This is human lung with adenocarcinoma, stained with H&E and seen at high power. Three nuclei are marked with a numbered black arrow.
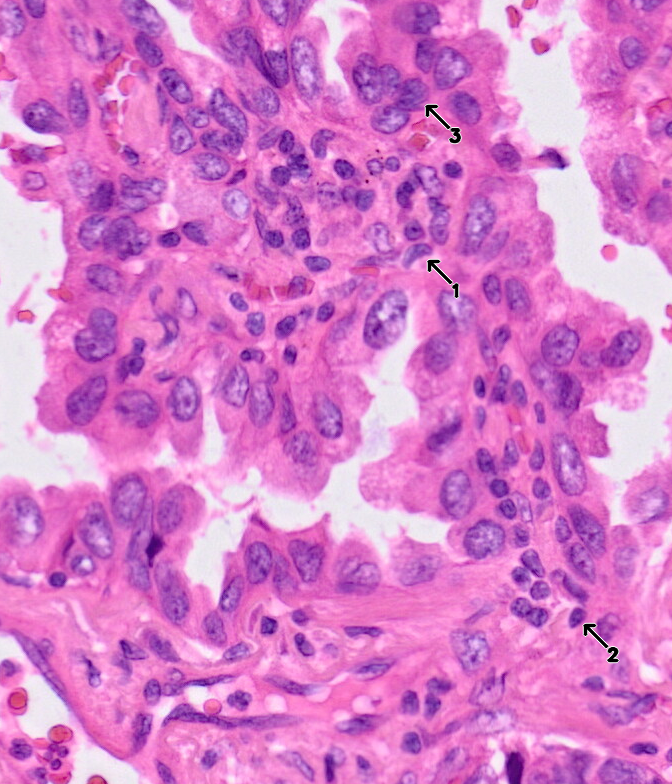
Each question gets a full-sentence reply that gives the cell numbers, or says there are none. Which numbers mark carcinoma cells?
Among the numbered cells, a carcinoma cell occurs only once, as cell 3.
